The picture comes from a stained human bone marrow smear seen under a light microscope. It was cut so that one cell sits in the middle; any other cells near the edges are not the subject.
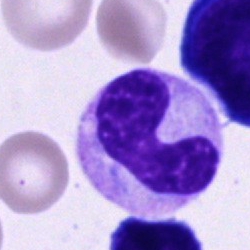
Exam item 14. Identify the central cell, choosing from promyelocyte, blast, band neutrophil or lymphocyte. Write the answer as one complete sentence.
The single cell at the center of the crop is a band neutrophil.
